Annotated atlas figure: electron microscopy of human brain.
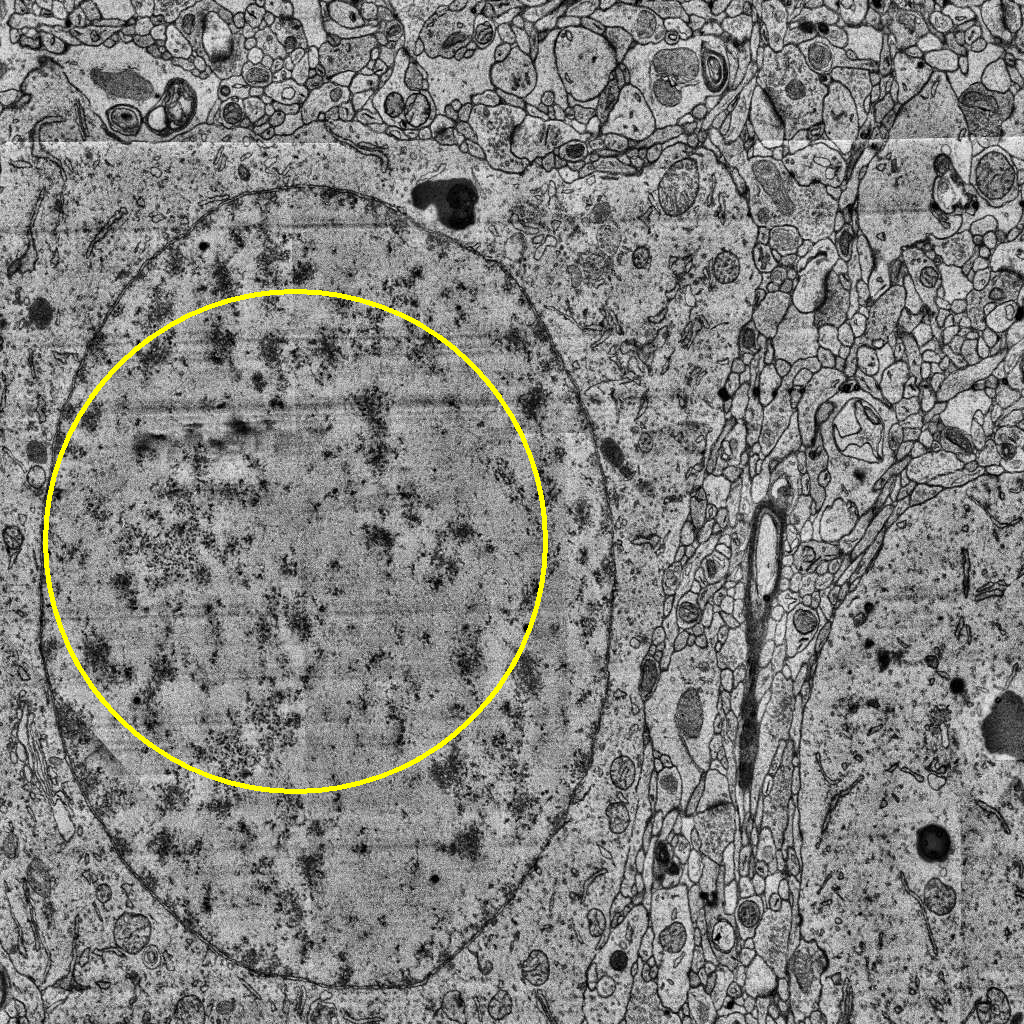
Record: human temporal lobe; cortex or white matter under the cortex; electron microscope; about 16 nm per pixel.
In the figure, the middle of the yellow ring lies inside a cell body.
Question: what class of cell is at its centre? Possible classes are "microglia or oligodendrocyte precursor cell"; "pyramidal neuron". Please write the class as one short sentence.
The yellow ring's centre lies in a pyramidal neuron.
